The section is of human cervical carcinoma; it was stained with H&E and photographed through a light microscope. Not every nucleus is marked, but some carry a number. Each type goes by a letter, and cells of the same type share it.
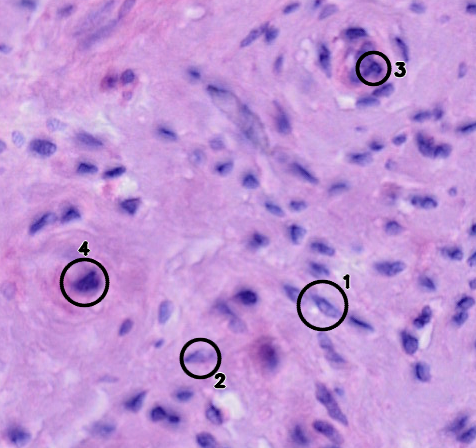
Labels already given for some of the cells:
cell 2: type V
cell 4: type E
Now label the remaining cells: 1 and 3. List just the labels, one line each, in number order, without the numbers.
type V
type E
